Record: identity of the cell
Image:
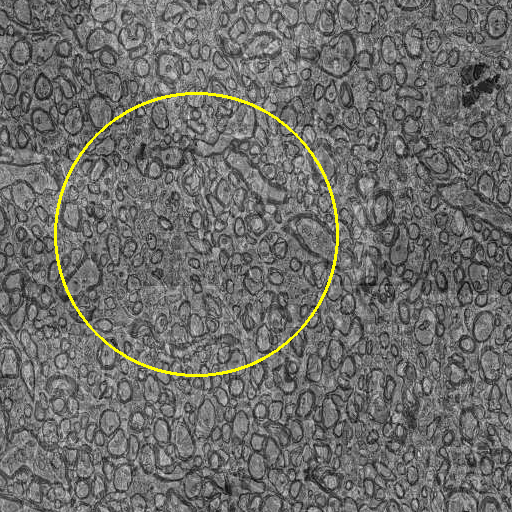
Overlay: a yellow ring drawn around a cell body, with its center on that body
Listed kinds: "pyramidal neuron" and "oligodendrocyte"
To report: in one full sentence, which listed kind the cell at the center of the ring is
In the image, the cell body at the ring's center belongs to an oligodendrocyte.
